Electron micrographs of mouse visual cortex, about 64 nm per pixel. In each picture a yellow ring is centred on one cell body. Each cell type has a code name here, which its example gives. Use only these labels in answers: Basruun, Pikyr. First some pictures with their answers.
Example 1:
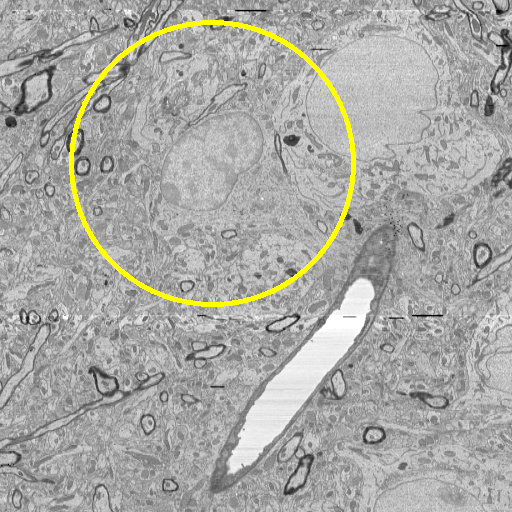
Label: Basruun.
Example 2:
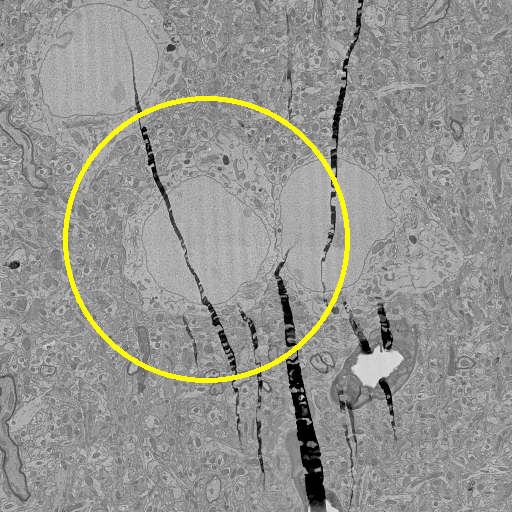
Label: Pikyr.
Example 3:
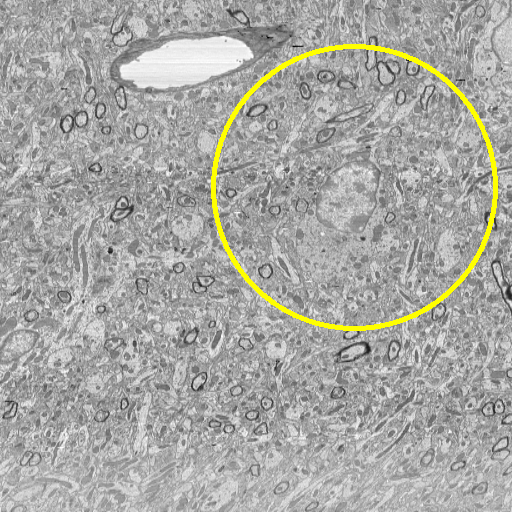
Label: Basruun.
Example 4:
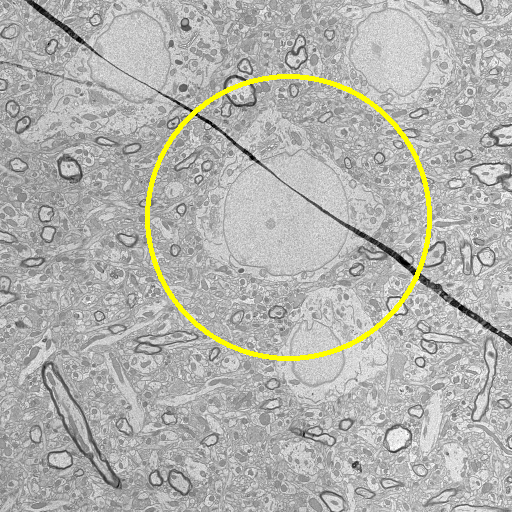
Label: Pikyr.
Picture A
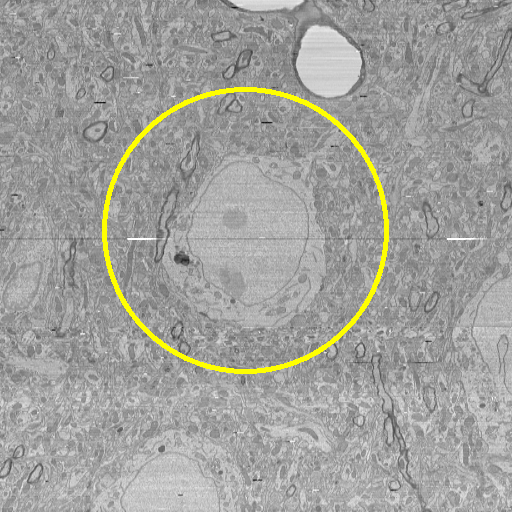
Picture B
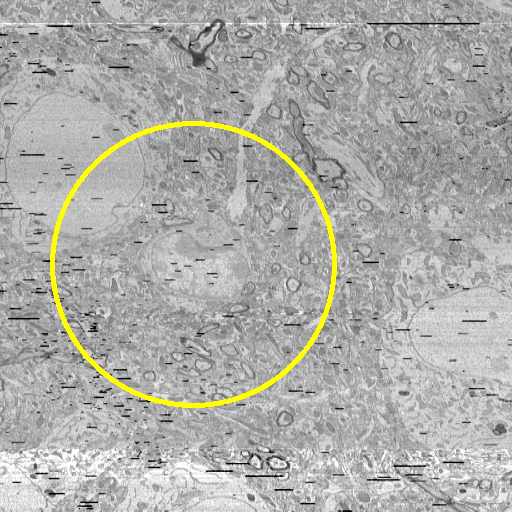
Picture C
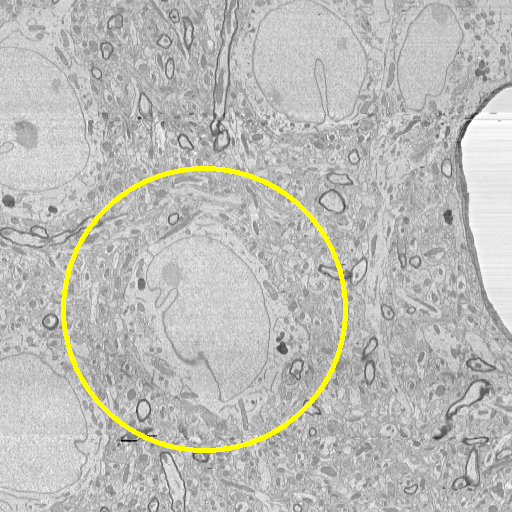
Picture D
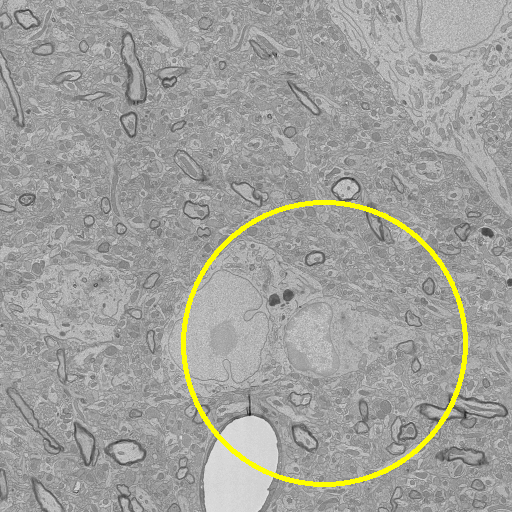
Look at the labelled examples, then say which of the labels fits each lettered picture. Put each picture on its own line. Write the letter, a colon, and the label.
A: Pikyr.
B: Basruun.
C: Pikyr.
D: Basruun.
